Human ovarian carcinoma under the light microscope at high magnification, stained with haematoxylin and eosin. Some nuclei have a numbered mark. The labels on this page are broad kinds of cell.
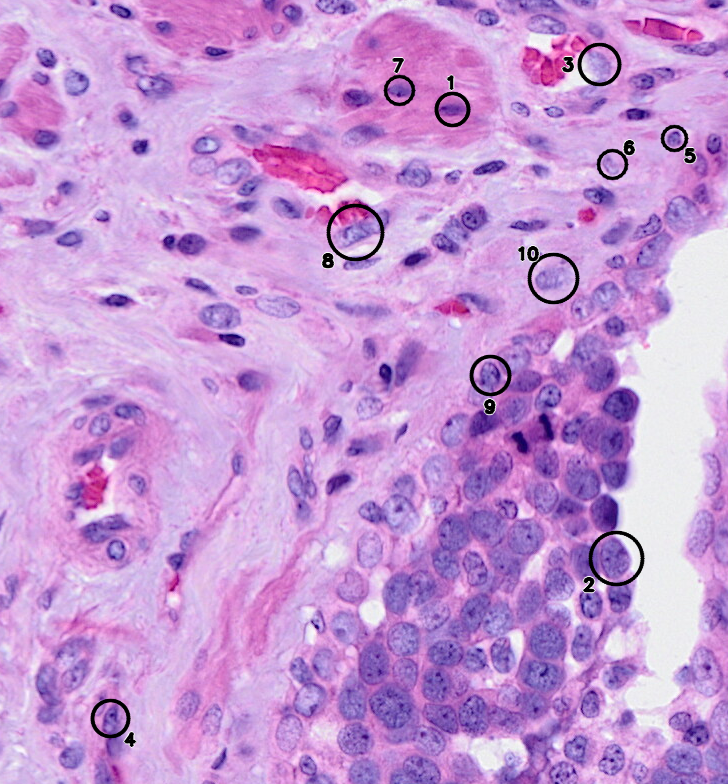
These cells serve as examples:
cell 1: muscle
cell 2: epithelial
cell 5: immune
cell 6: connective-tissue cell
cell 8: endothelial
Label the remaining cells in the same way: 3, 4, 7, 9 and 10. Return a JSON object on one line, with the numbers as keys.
{"3": "endothelial", "4": "endothelial", "7": "muscle", "9": "immune", "10": "connective-tissue cell"}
